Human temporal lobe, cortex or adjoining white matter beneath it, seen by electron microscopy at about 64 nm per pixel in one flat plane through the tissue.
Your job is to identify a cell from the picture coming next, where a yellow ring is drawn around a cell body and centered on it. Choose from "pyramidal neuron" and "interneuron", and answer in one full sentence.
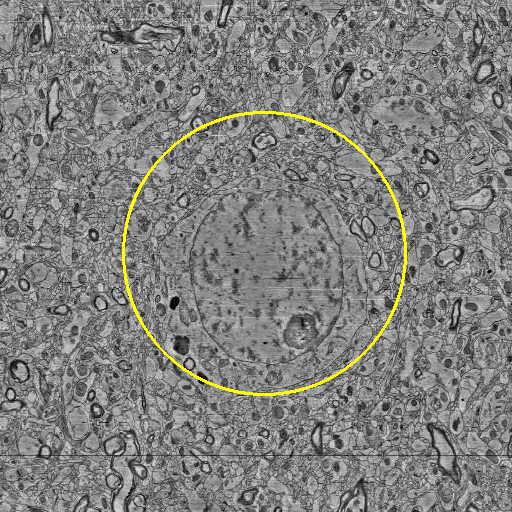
Centered in the yellow ring of the picture is the body of a pyramidal neuron.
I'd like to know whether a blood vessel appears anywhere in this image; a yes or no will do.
No, none is visible.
